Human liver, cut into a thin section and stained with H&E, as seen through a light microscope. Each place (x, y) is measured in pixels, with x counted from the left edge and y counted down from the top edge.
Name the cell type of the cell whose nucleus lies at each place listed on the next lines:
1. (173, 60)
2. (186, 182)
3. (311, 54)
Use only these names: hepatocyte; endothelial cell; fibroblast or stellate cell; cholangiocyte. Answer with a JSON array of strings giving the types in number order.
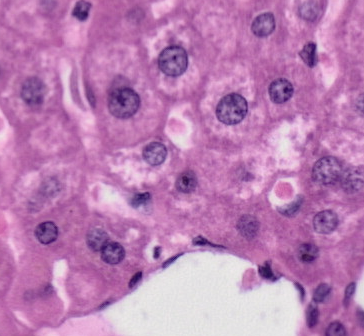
["hepatocyte", "hepatocyte", "endothelial cell"]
